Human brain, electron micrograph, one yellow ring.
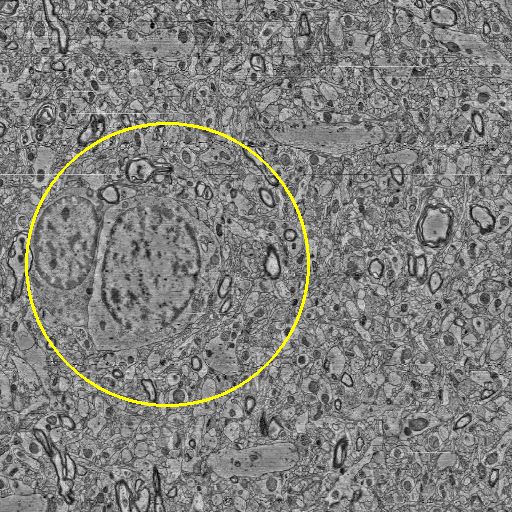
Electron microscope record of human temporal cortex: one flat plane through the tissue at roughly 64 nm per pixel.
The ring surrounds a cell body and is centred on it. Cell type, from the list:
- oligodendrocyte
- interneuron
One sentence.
The yellow ring circles an interneuron.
